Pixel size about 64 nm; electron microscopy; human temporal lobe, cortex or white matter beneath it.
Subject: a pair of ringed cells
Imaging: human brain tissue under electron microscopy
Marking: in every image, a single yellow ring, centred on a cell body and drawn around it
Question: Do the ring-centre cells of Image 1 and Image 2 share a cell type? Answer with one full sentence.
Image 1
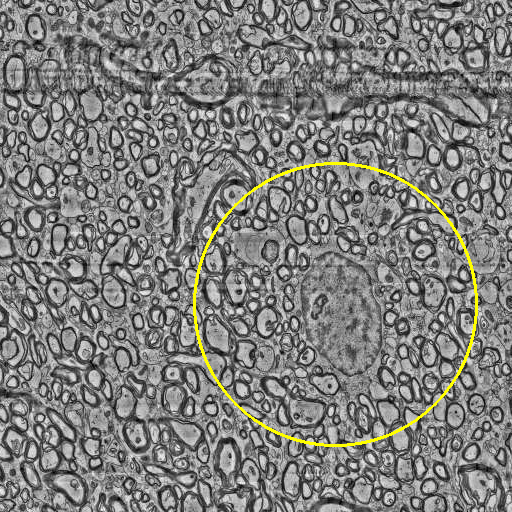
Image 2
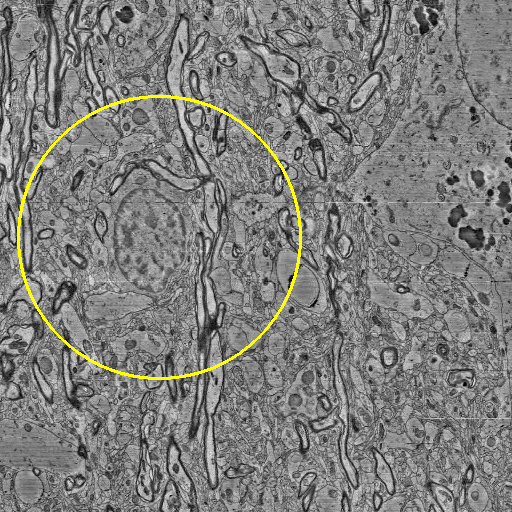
Yes, at each ring's centre in the images sits a cell of one common type.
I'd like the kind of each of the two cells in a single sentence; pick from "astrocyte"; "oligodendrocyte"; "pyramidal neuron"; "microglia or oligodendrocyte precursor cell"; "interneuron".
In each of the two pictures, the ringed cell is an oligodendrocyte.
